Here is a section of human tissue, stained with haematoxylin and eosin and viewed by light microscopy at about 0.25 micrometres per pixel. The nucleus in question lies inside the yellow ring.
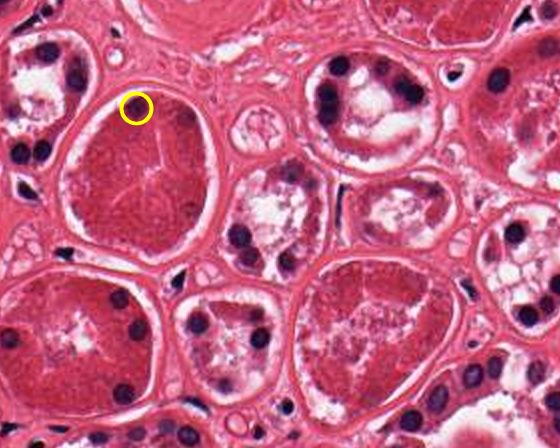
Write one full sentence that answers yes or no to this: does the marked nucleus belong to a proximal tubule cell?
Yes, the marked nucleus is present within a proximal tubule cell.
